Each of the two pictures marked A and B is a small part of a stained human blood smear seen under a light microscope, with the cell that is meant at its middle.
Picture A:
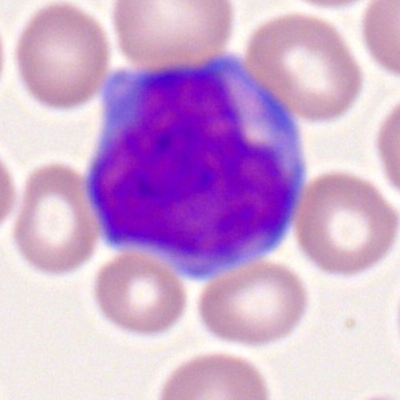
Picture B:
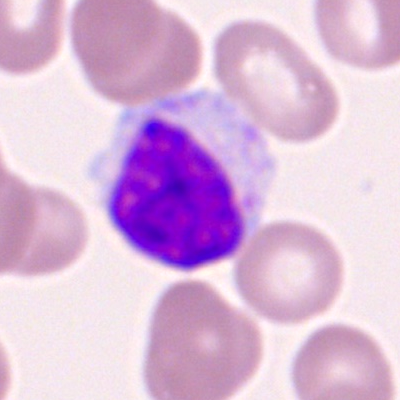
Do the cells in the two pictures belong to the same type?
no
